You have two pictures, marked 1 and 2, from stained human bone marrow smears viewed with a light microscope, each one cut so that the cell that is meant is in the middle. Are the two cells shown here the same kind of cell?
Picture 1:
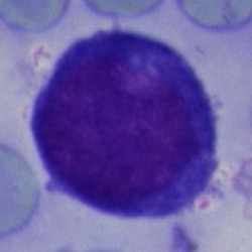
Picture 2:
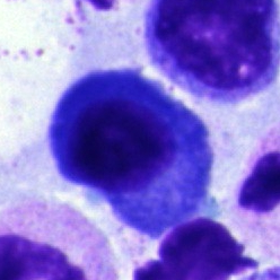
no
